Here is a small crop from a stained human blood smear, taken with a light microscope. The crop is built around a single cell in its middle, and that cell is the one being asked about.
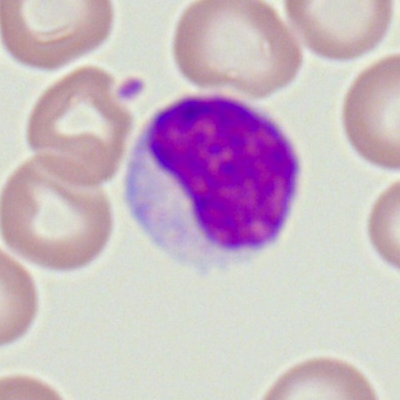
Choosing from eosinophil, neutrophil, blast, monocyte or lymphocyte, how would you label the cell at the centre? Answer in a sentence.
Here the cell in the middle is a lymphocyte.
